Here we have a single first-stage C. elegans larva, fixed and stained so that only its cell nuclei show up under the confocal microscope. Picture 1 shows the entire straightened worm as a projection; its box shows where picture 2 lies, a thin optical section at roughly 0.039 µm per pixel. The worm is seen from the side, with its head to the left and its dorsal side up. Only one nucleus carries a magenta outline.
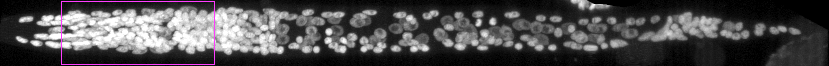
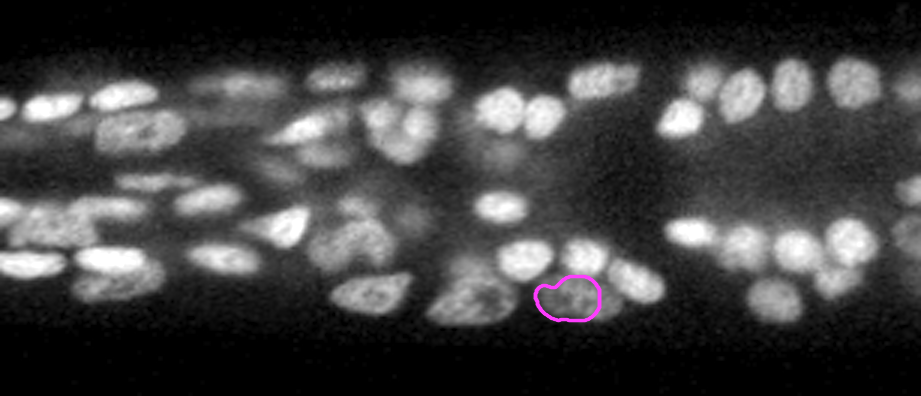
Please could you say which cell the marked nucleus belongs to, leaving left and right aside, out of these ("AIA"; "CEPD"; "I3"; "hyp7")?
hyp7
